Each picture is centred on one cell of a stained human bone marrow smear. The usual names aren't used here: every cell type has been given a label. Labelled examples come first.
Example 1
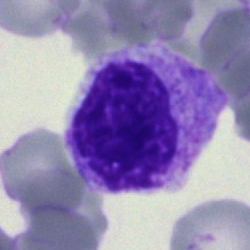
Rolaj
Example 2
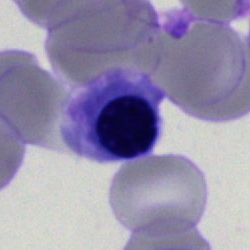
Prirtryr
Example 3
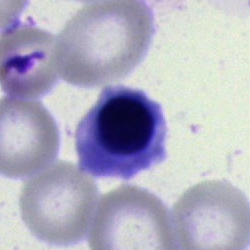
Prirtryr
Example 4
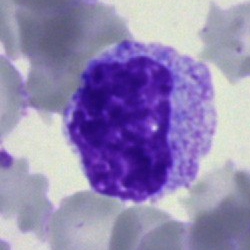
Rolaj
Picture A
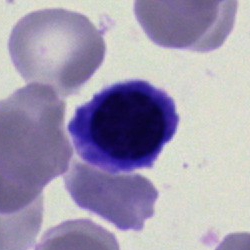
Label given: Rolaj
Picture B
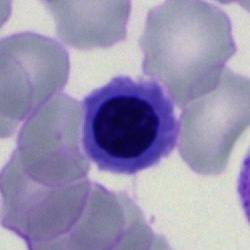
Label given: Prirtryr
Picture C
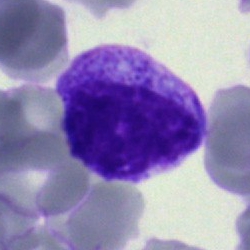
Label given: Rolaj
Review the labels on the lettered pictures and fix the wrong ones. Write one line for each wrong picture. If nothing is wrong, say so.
A should be Prirtryr, not Rolaj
